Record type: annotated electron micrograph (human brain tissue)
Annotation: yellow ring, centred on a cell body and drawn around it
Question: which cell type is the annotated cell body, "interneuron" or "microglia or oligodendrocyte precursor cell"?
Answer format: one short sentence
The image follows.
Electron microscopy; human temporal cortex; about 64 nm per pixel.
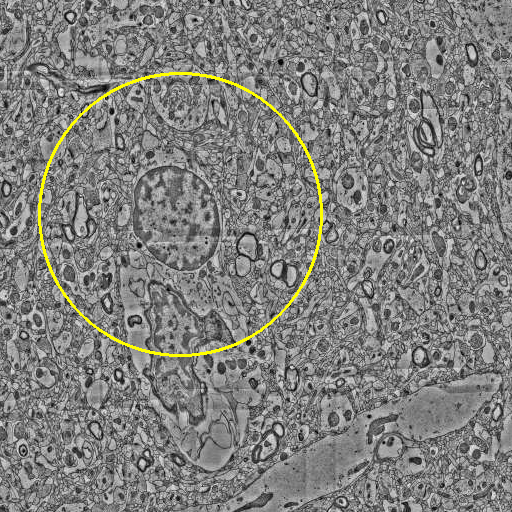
The annotated cell body is that of a microglial cell or oligodendrocyte precursor cell.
